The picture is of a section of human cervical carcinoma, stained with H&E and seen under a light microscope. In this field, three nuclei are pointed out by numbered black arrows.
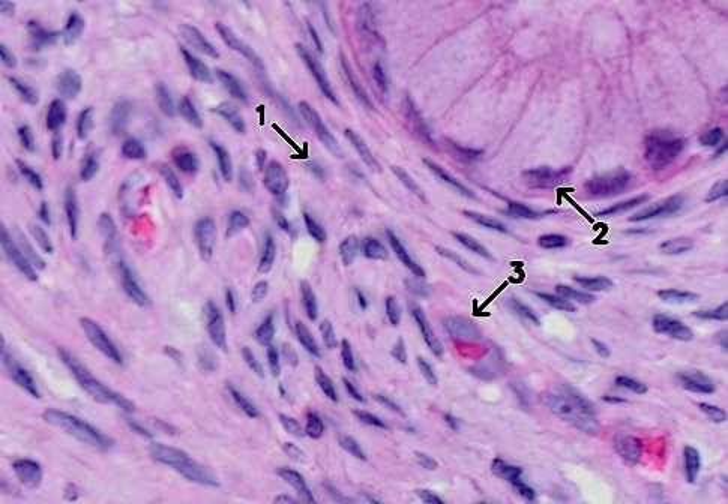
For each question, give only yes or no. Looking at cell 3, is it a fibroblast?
no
